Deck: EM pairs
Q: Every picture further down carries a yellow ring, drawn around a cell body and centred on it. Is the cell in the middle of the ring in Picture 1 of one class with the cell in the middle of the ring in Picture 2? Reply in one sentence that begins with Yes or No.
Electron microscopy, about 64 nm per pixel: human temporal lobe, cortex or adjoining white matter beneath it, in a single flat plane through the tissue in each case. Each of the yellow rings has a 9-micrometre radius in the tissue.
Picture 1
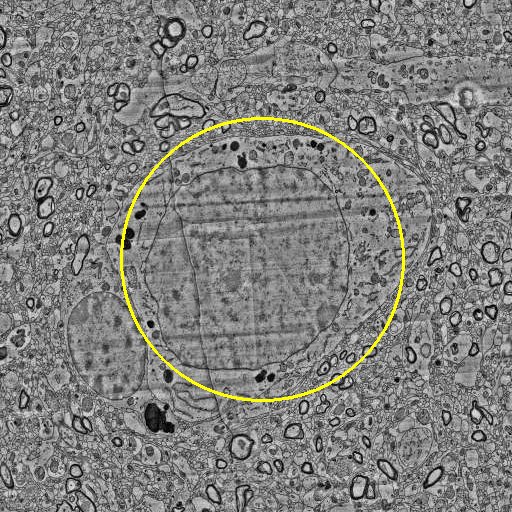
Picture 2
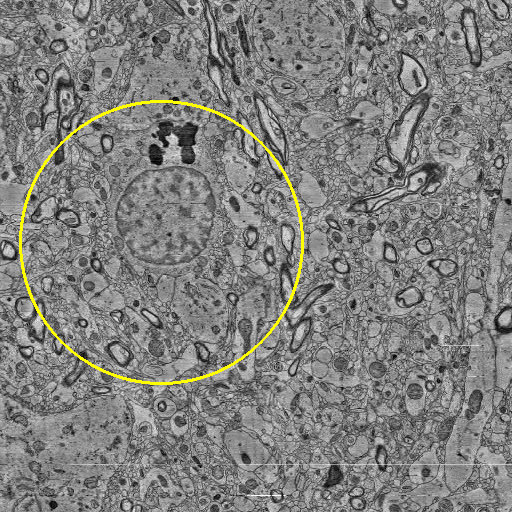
No, the cell centred in the ring of Picture 1 and the one in Picture 2 belong to separate classes.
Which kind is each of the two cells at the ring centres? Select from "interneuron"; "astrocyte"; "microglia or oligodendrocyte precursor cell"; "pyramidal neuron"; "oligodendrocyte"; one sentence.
The cell at the centre of the ring is a pyramidal neuron in the first picture and an oligodendrocyte in the second.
